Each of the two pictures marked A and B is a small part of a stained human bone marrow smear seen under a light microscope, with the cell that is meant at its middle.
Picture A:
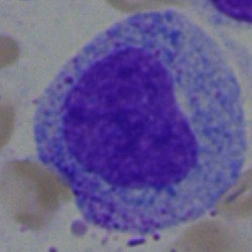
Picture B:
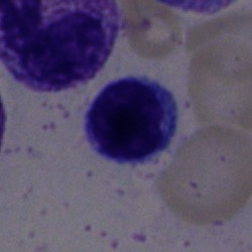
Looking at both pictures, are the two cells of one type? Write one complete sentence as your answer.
No. Picture A shows a promyelocyte, but picture B shows a lymphocyte.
